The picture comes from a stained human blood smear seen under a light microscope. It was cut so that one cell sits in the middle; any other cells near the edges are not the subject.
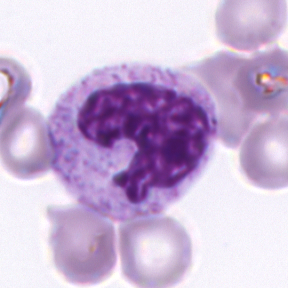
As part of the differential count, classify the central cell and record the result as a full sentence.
Occupying the centre of the crop is a band neutrophil.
